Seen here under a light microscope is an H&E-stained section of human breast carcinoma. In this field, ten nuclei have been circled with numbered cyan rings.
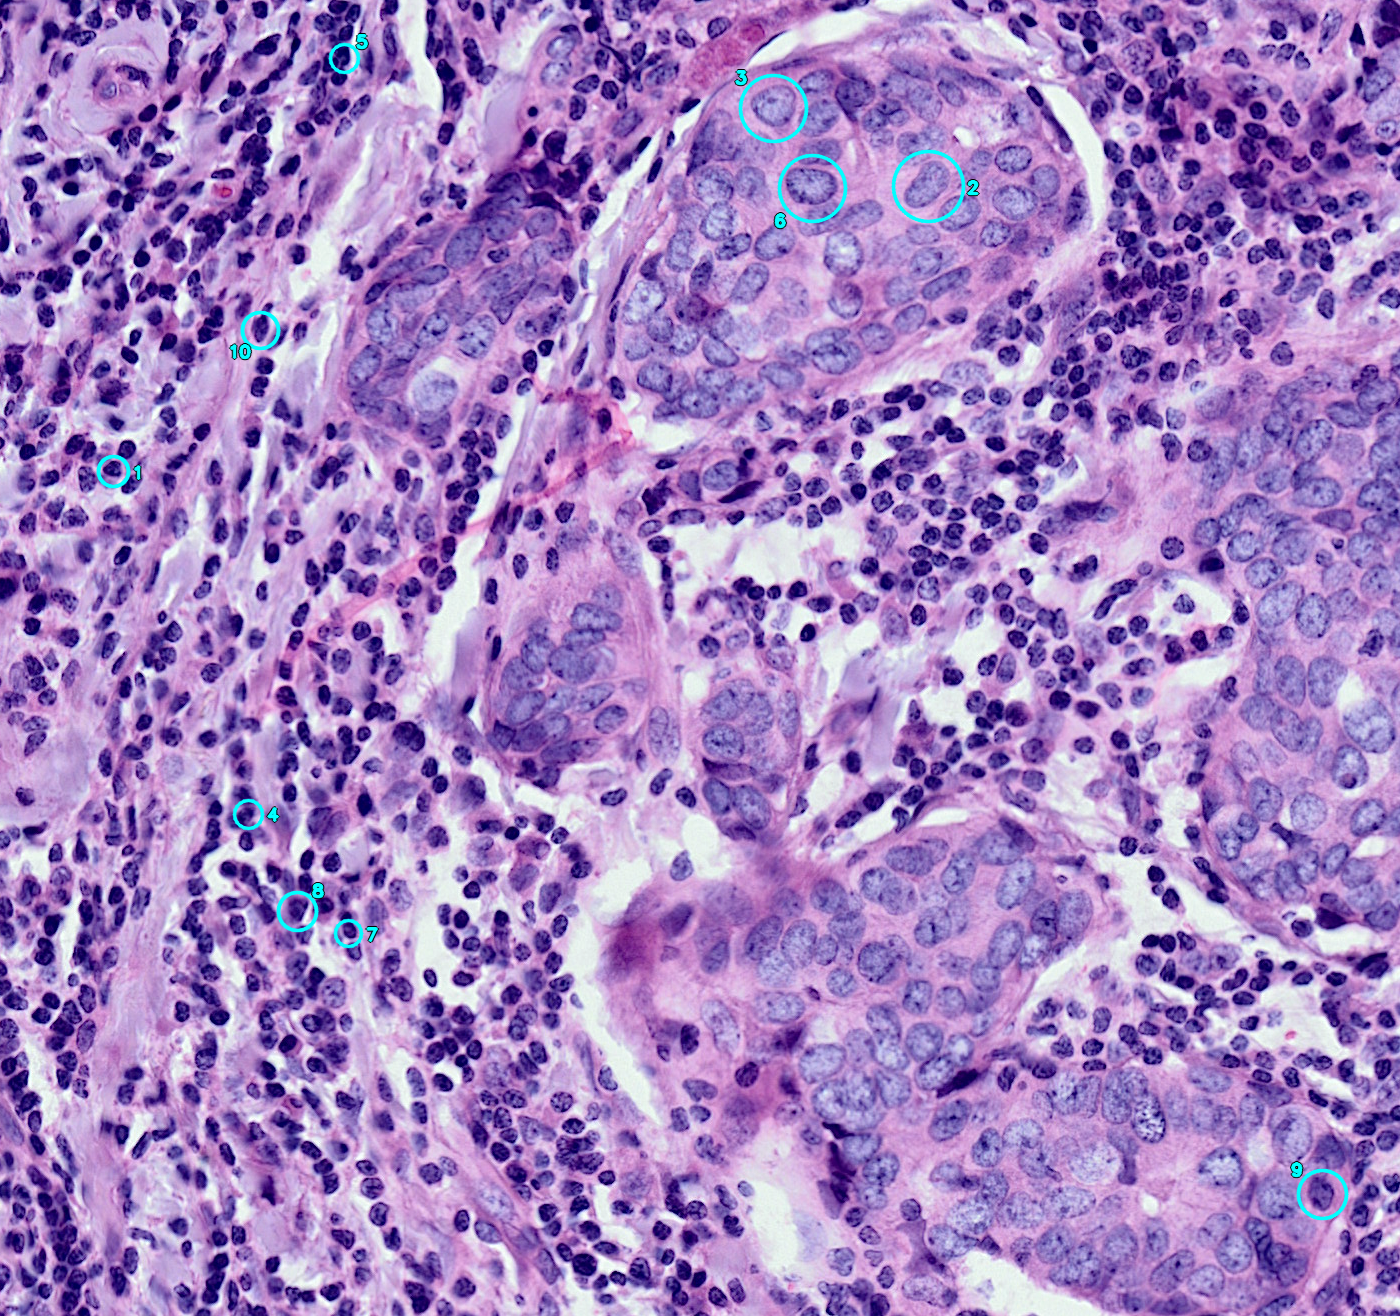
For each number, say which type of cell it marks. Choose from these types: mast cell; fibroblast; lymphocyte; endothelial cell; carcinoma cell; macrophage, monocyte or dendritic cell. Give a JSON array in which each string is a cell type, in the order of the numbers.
["lymphocyte", "carcinoma cell", "carcinoma cell", "lymphocyte", "lymphocyte", "carcinoma cell", "lymphocyte", "lymphocyte", "carcinoma cell", "lymphocyte"]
